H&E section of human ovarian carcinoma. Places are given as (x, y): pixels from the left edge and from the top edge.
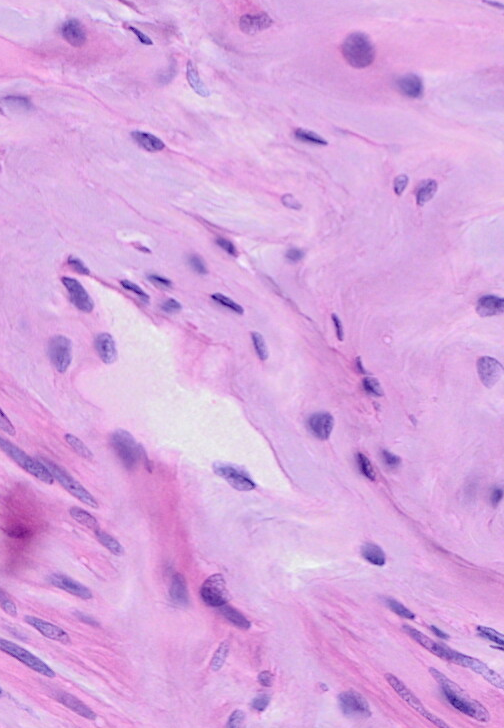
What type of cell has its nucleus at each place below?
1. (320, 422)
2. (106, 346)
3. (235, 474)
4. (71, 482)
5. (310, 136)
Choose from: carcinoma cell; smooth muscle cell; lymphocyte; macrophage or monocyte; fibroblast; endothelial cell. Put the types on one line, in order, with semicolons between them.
fibroblast; endothelial cell; endothelial cell; smooth muscle cell; fibroblast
